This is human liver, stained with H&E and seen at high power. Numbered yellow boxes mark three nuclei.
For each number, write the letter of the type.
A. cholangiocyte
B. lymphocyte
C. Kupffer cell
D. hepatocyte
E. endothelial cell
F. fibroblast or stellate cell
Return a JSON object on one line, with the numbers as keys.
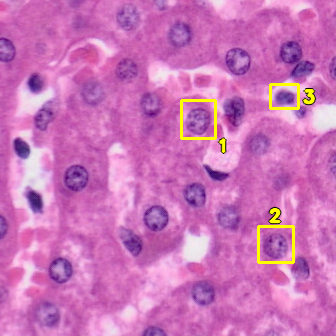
{"1": "D", "2": "D", "3": "B"}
